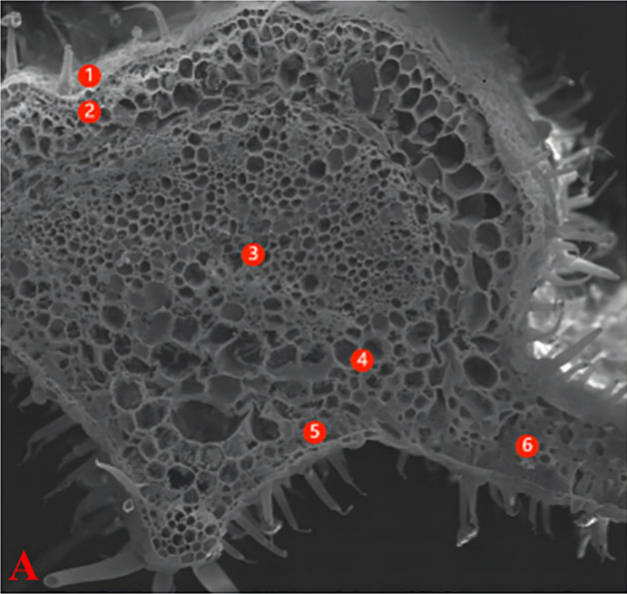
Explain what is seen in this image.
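Cross-section of a leaf with an outer epidermis bearing numerous hair-like projections. Beneath it lie thin-walled parenchyma cells, and the central region holds a dense mass of small polygonal cells of the vascular tissue, flanked by larger, looser cells.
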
